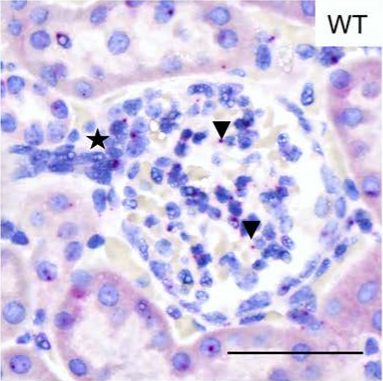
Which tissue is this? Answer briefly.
Glomeruli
